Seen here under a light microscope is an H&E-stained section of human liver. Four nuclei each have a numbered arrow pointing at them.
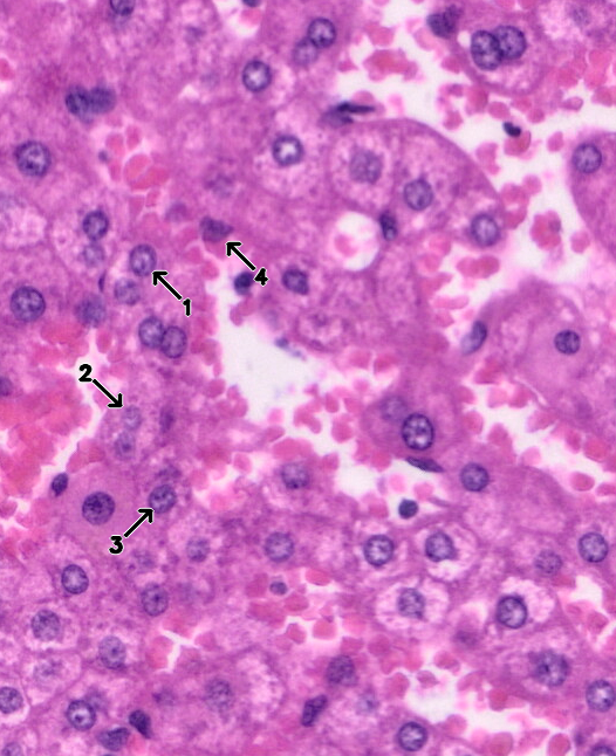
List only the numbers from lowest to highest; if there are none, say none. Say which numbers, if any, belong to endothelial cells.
4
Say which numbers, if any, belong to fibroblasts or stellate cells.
none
